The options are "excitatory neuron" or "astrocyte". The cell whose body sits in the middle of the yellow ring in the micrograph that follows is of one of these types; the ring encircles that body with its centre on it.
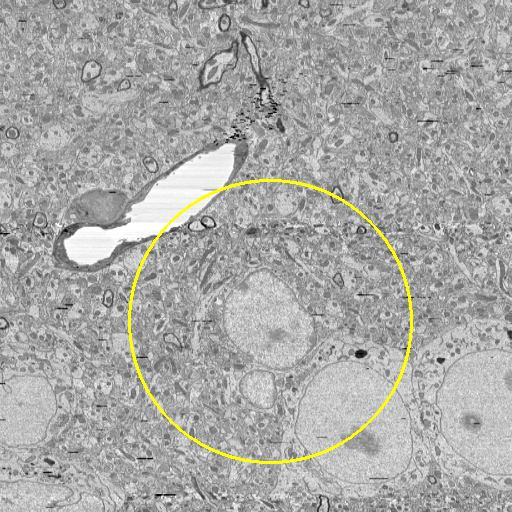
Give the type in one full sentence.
Going by the micrograph, the cell centred in the yellow ring is an astrocyte.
